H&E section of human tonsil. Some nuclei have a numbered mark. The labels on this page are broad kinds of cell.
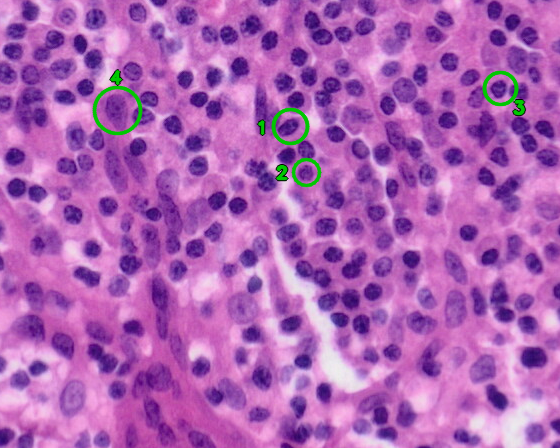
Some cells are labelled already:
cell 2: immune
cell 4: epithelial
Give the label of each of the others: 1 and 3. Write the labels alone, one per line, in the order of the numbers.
immune
immune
